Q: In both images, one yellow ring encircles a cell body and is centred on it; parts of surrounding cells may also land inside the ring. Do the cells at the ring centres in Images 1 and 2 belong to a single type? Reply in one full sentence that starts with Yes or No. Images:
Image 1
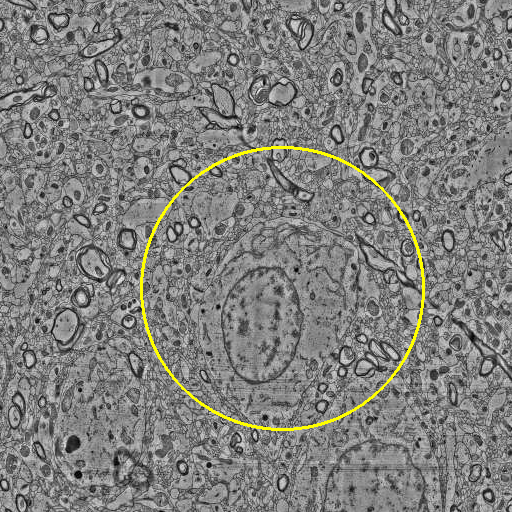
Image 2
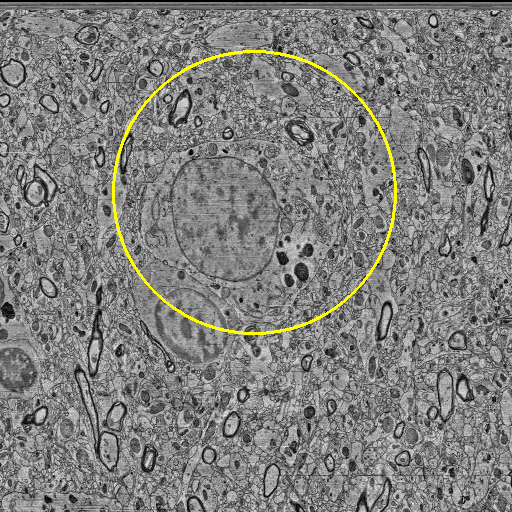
Yes, the cells at the ring centres in Images 1 and 2 are of a single type.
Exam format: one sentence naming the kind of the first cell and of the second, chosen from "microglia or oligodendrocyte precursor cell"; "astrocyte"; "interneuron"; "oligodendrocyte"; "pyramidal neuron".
The first and the second cell are each a pyramidal neuron.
